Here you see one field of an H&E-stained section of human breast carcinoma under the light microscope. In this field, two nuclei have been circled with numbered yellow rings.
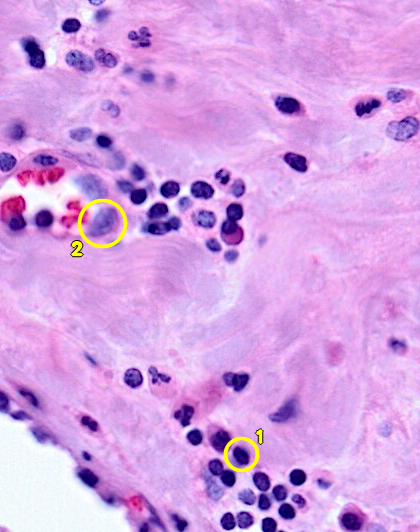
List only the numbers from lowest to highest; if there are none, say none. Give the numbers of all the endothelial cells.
2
